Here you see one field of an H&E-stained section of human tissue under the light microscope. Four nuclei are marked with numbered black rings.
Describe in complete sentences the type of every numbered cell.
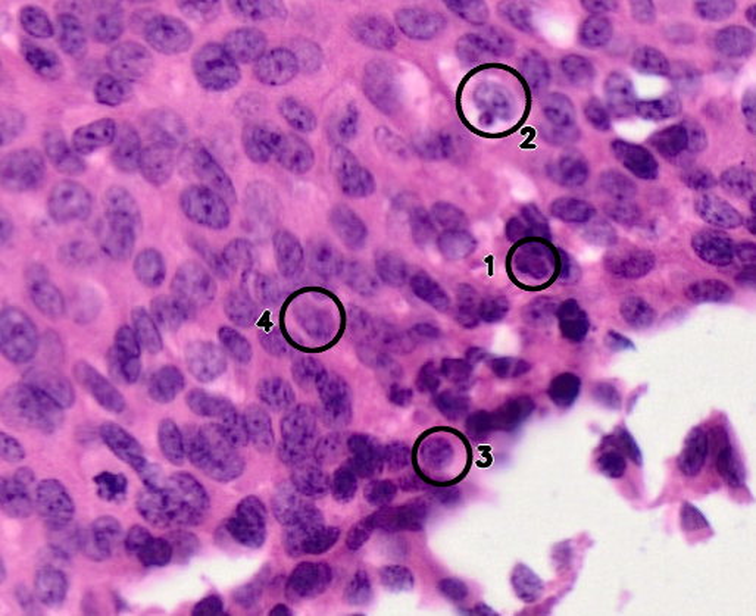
Cells 1, 3 and 4 are carcinoma cells. Cell 2 is a macrophage or monocyte.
